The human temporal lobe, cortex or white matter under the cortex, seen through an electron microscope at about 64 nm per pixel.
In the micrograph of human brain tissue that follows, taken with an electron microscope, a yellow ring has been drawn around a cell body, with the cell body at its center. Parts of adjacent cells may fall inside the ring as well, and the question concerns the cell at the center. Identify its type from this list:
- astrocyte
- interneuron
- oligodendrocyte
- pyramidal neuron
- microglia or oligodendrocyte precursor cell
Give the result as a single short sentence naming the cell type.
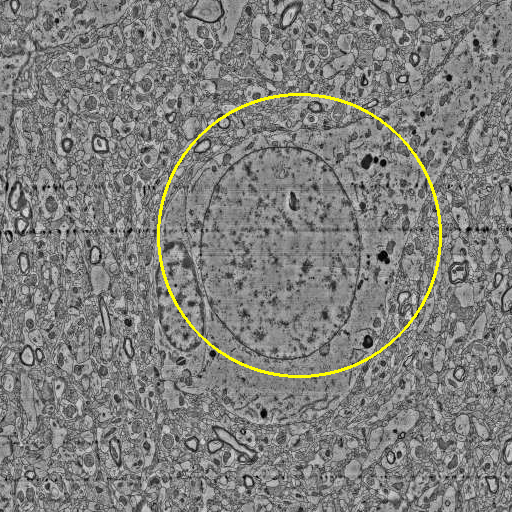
The ring is centered on a pyramidal neuron.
